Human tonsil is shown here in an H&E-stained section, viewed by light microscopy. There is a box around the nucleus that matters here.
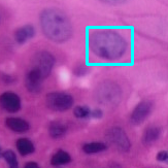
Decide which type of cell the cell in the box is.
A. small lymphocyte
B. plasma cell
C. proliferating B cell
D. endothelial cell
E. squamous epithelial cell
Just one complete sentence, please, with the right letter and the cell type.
Option E, identifying the cell in the box as a squamous epithelial cell, is correct.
